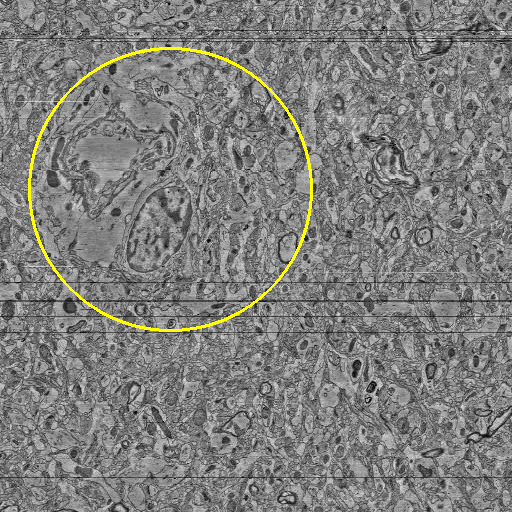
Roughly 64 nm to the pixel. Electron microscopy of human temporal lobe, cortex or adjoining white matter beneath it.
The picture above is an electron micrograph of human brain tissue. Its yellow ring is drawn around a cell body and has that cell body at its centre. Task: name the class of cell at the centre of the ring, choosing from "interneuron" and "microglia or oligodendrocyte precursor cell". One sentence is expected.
The ring surrounds the body of a microglial cell or oligodendrocyte precursor cell.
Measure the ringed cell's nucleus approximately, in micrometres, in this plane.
About 6 by 3 micrometers in this plane, so the nucleus is clearly longer than it is wide.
